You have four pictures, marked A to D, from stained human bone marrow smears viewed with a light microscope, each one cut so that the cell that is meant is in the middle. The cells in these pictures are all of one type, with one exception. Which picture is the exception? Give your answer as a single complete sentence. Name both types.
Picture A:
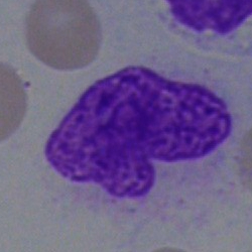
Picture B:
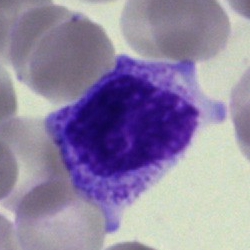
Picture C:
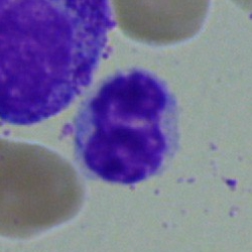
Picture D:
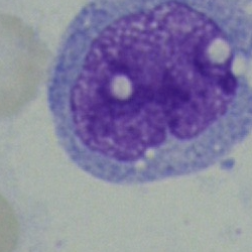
The others show monocytes, but picture B shows a myelocyte.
